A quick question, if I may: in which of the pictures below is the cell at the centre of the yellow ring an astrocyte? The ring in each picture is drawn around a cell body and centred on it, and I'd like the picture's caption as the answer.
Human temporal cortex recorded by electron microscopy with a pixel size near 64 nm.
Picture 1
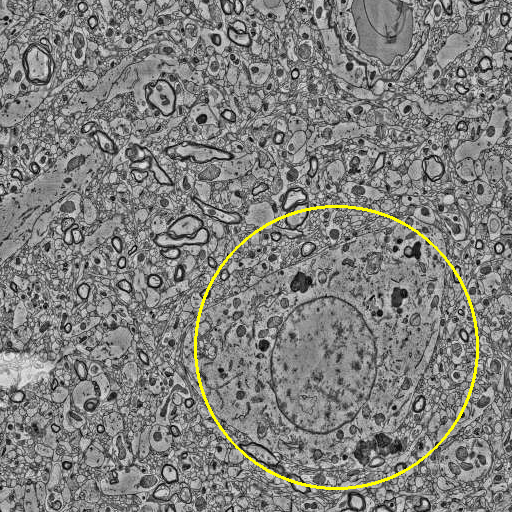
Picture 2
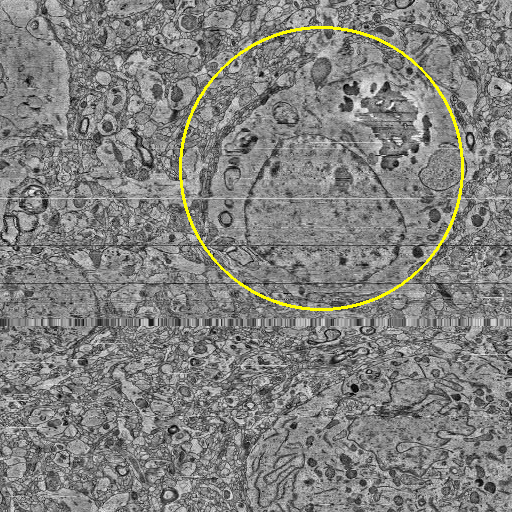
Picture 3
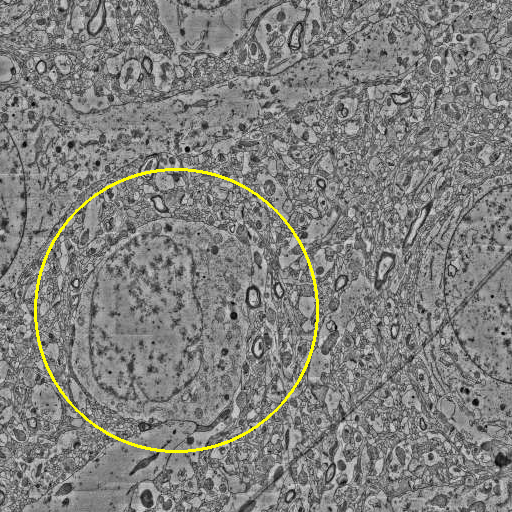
Picture 2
